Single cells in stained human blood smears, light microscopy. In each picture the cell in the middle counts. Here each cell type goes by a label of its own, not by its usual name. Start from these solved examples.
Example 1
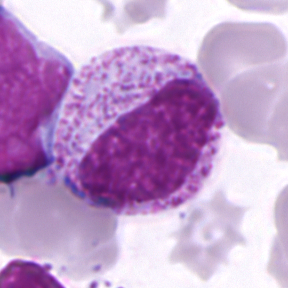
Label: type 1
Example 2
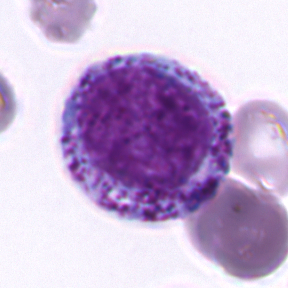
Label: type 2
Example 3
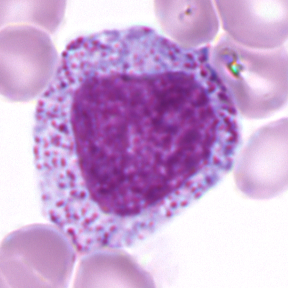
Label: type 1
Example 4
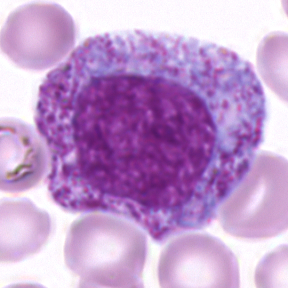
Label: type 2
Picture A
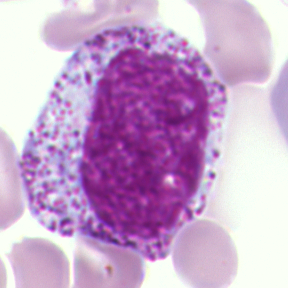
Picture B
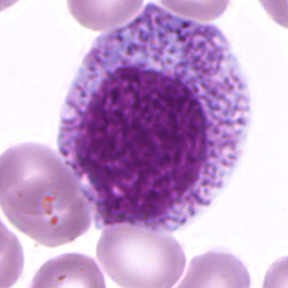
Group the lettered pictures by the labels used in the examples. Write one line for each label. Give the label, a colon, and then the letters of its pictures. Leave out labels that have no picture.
type 1: A
type 2: B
